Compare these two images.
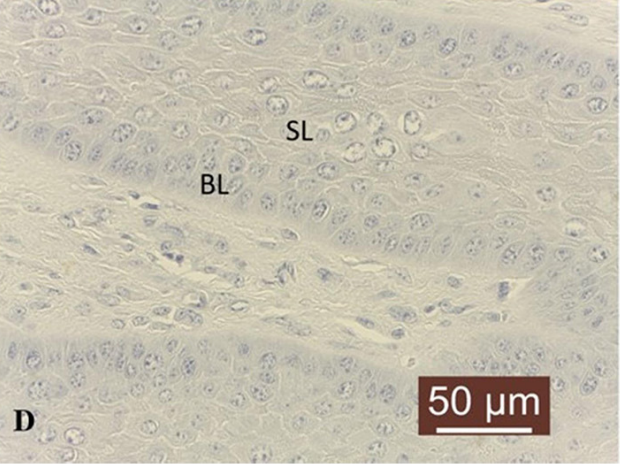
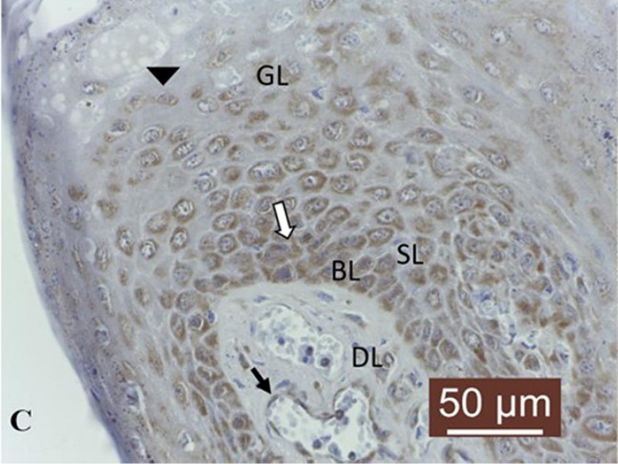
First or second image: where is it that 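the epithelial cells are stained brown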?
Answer: The second image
